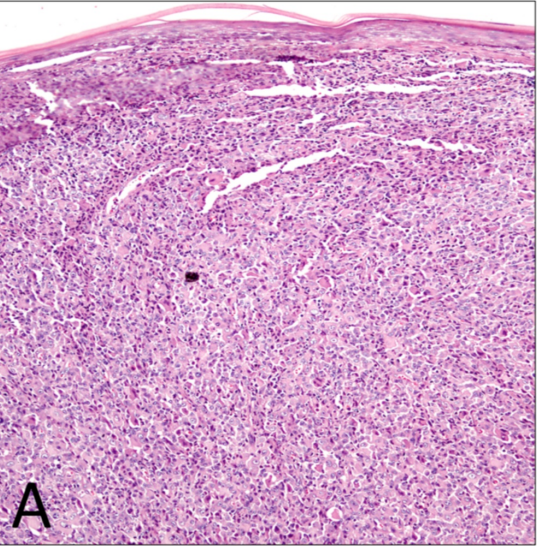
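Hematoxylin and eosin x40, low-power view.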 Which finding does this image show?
Sheets of cells with plump eosinophilic cytoplasm.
